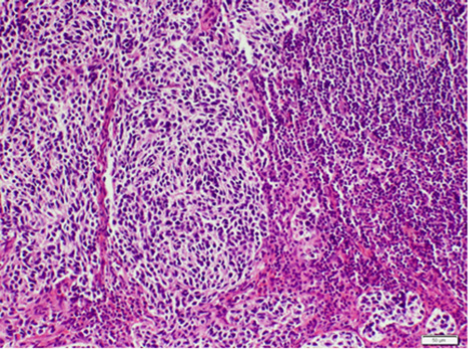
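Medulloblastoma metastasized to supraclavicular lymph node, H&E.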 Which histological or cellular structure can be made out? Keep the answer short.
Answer: Sheets and nodules.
